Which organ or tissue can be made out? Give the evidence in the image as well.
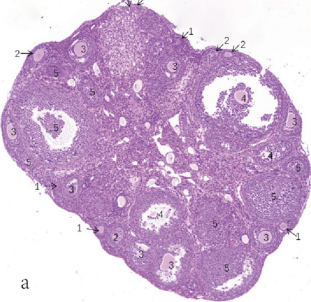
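A round organ section packed with follicles of varied size. Many follicles contain a central oocyte surrounded by granulosa cell layers. Several follicles have fluid-filled antral cavities. That points to this answer: ovaries.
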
